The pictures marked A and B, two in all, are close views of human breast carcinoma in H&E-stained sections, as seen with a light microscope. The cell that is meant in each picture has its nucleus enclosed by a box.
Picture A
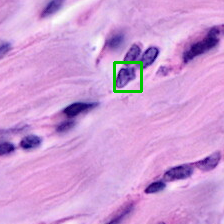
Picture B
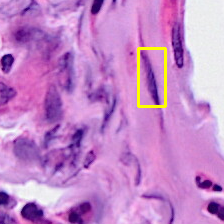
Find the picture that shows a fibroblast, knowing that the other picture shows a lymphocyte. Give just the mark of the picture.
B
